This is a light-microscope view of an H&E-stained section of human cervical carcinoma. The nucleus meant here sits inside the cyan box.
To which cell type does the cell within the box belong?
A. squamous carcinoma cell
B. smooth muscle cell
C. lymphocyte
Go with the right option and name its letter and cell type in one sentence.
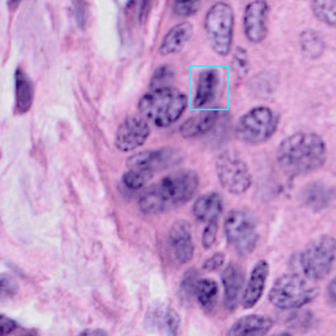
Option A describes the cell within the box accurately as a squamous carcinoma cell.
